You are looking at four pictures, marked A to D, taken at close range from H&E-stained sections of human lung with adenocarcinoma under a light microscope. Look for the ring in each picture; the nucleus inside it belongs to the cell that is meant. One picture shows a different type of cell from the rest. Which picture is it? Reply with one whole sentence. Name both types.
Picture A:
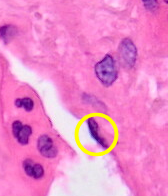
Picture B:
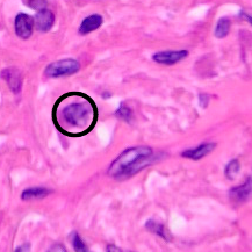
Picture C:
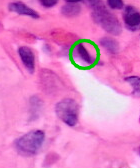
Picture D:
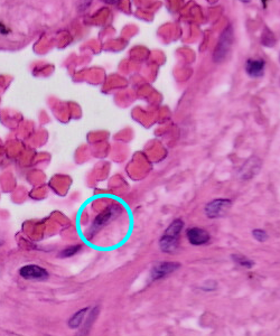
Picture B differs, because its cell is a plasma cell and the rest are endothelial cells.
